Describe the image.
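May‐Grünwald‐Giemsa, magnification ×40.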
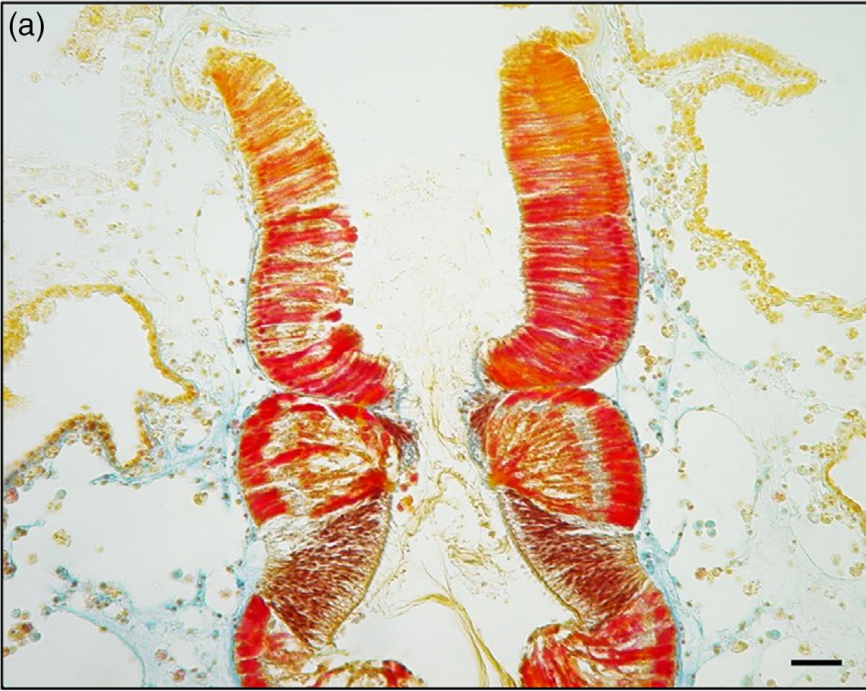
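This is a longitudinal section of the endostyle, seen as two mirror-image walls of very tall, slender columnar cells lining a central groove. Each wall is divided into successive zones: the upper zones stain bright red-orange with the cells lined up in parallel, while lower zones fan out and one zone stains dark brown. Around the two walls lies loose, pale tissue with thin blue-green strands, in which many small round free cells are scattered.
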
